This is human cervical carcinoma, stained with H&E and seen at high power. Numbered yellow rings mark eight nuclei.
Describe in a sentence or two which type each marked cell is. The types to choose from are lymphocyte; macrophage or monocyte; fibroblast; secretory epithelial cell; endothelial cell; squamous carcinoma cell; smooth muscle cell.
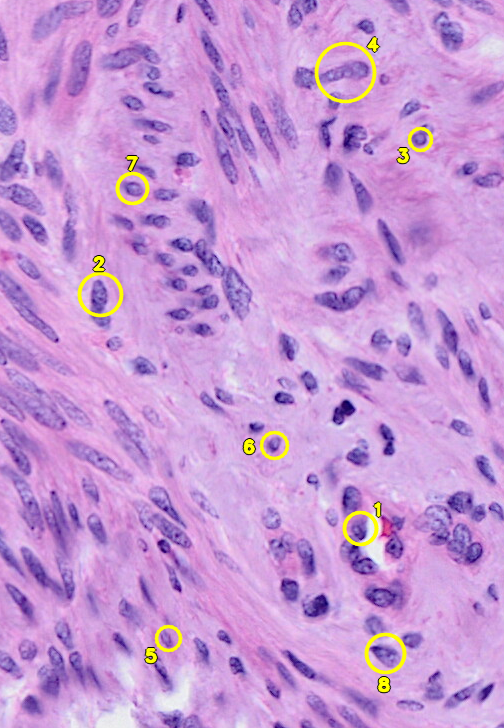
Cell 1 is an endothelial cell. Cells 2 and 8 are fibroblasts. Cells 3, 4, 5, 6 and 7 are smooth muscle cells.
